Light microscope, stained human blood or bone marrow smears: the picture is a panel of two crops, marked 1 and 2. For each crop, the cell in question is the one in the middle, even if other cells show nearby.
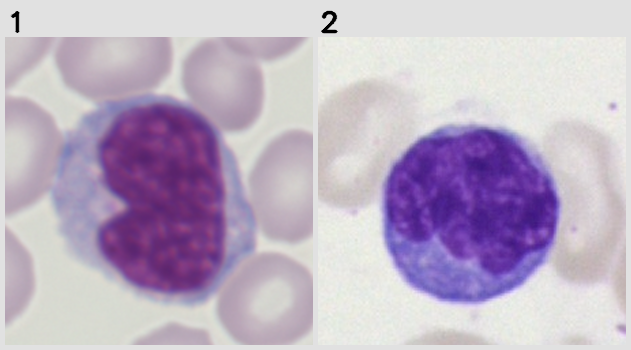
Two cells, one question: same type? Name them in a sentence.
Yes, the middle cells in the two crops are monocytes.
